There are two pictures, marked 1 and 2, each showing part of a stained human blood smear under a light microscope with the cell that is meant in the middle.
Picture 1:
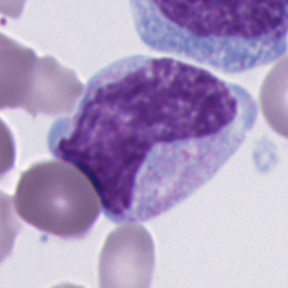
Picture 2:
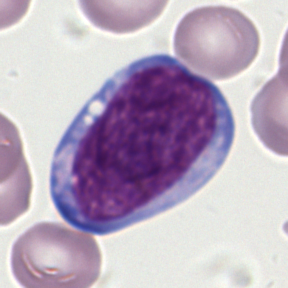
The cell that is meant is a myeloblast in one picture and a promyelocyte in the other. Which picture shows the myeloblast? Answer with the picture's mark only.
2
